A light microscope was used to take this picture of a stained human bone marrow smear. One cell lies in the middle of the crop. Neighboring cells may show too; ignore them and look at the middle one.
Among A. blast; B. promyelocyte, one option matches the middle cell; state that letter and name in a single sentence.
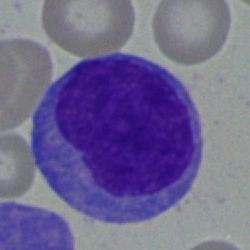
The correct option here is A; the middle cell is a blast.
